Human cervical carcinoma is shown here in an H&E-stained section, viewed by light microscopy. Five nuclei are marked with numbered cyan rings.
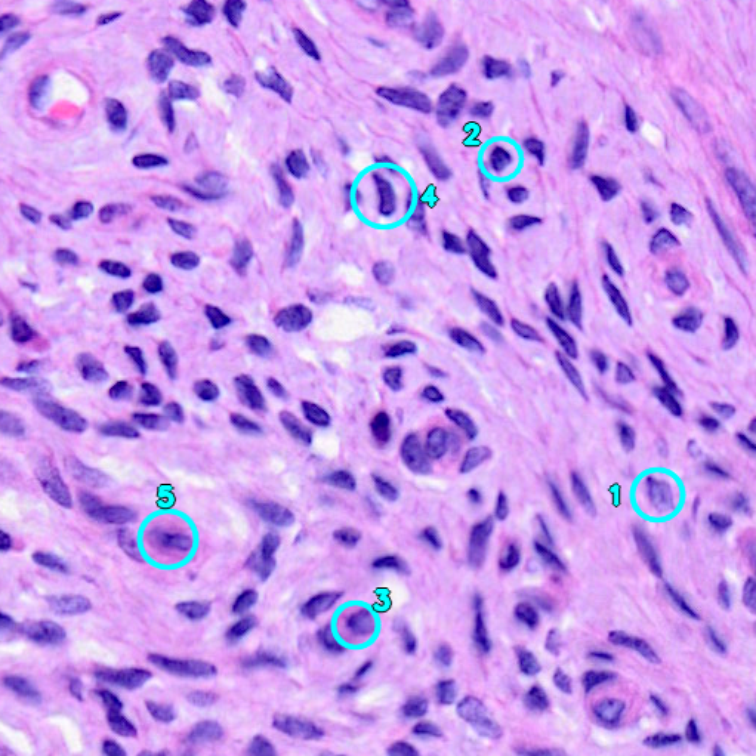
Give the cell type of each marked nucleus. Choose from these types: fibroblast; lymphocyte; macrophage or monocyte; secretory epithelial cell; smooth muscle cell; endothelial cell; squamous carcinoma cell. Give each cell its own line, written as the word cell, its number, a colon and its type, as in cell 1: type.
cell 1: fibroblast
cell 2: fibroblast
cell 3: endothelial cell
cell 4: fibroblast
cell 5: endothelial cell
